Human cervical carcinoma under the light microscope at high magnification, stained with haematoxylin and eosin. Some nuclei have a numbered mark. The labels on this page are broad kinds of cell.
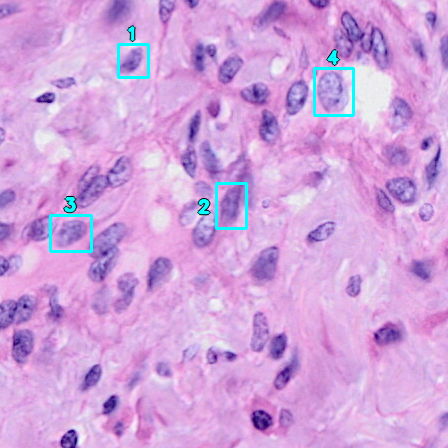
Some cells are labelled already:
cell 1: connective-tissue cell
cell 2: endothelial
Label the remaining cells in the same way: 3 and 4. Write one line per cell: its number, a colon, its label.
3: endothelial
4: endothelial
